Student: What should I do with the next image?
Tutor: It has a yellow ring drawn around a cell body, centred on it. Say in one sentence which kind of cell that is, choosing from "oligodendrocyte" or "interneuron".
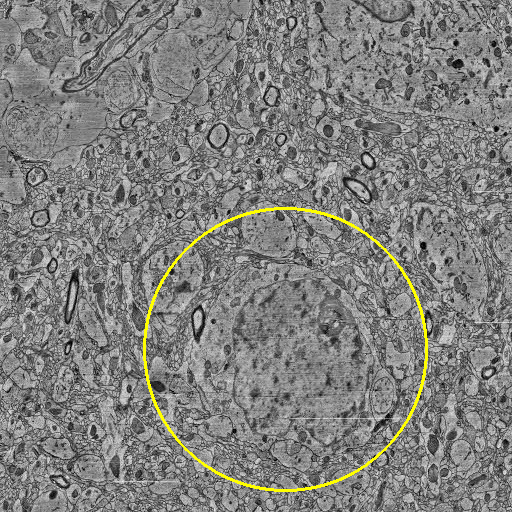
The ring's centre is occupied by an interneuron.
